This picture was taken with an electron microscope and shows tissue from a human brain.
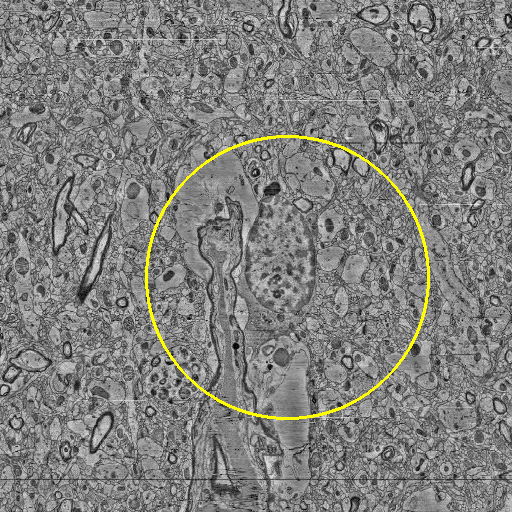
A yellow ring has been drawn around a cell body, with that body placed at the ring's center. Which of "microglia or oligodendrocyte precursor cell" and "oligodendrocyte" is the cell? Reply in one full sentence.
In this picture, an oligodendrocyte is the cell at the center of the yellow ring.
